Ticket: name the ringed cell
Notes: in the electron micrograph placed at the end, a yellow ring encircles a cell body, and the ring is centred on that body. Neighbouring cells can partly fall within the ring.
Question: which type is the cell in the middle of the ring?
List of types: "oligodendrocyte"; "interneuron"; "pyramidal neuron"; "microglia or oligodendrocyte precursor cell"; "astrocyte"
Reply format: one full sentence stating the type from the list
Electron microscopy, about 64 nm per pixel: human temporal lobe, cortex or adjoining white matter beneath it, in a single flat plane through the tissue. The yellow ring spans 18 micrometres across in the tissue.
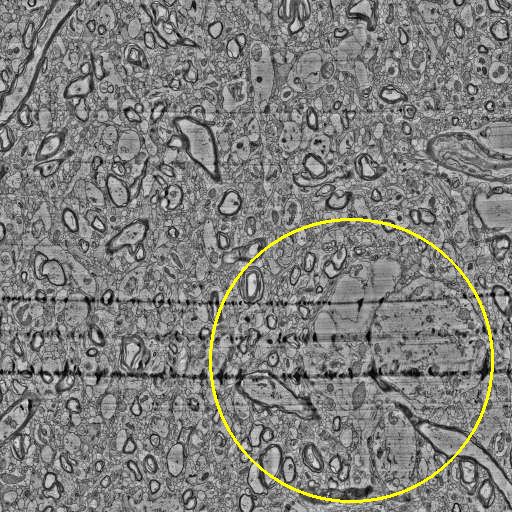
The cell sitting at the centre of the yellow ring is an astrocyte.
